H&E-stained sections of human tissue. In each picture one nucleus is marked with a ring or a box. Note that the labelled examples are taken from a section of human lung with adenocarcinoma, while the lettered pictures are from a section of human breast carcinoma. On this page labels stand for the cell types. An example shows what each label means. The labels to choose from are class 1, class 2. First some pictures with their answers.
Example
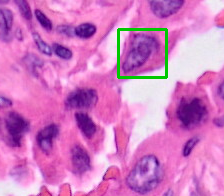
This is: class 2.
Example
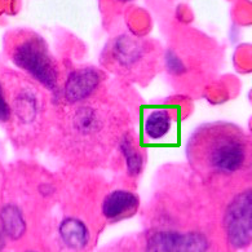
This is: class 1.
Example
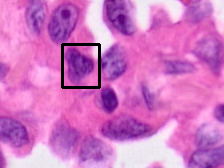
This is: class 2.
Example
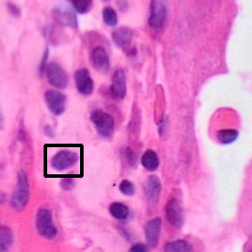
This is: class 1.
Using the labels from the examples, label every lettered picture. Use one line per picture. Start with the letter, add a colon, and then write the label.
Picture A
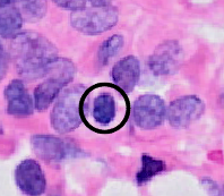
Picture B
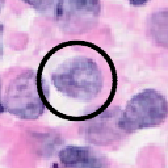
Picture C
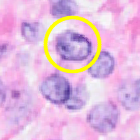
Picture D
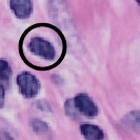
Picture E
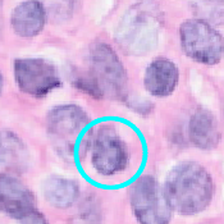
A: class 1.
B: class 2.
C: class 2.
D: class 1.
E: class 2.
